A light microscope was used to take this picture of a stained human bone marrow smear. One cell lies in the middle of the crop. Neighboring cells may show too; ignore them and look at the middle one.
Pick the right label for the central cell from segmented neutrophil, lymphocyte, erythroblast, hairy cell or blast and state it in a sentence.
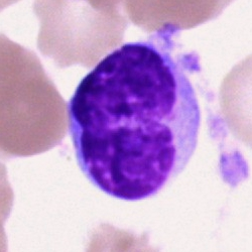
What sits at the centre of this crop is a hairy cell.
